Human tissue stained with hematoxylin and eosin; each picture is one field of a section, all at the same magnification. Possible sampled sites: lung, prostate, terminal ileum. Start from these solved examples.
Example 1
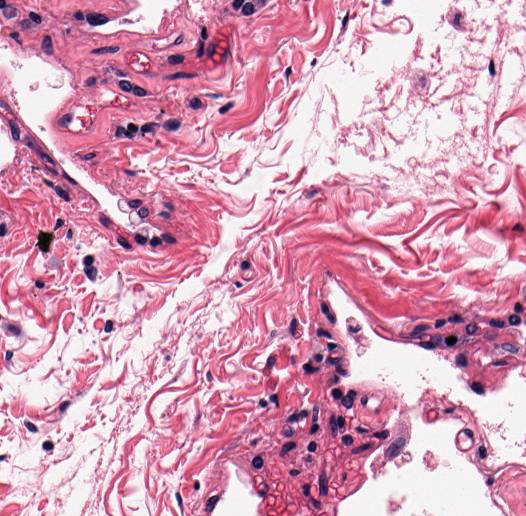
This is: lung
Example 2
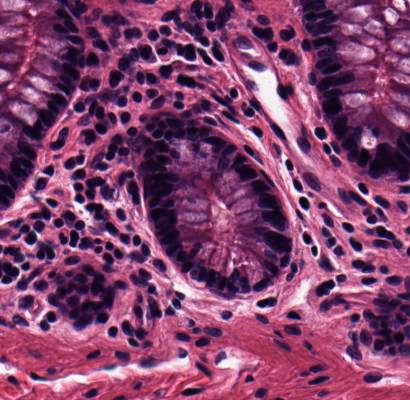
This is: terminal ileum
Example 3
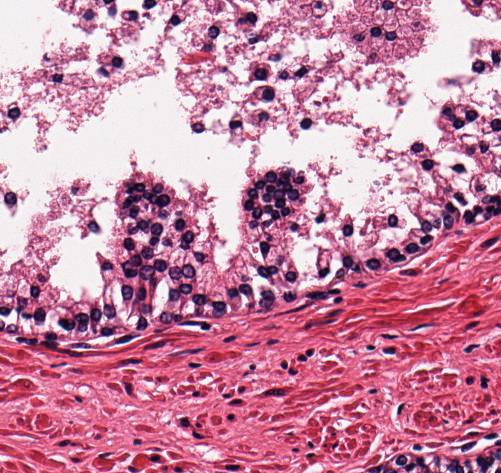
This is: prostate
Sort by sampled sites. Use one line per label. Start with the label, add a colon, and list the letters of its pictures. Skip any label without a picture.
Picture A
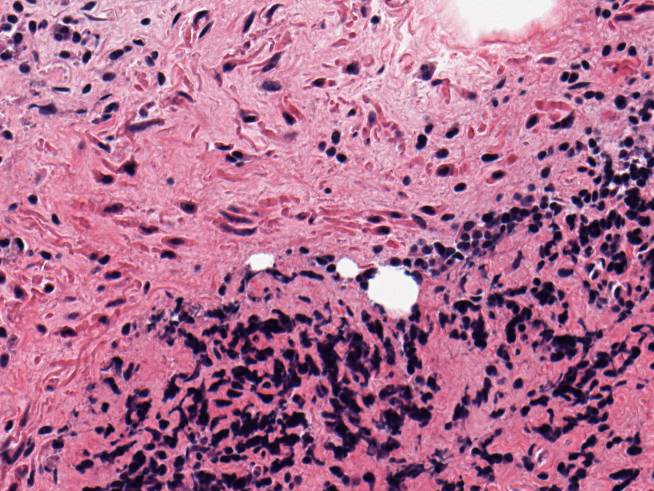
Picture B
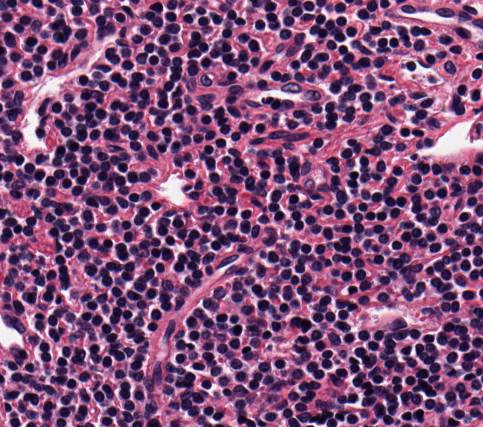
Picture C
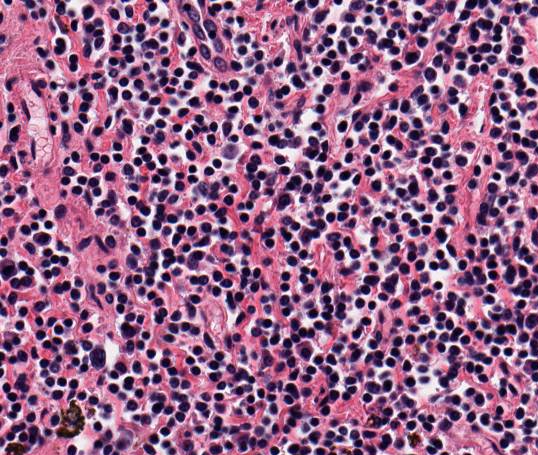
terminal ileum: A, B, C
